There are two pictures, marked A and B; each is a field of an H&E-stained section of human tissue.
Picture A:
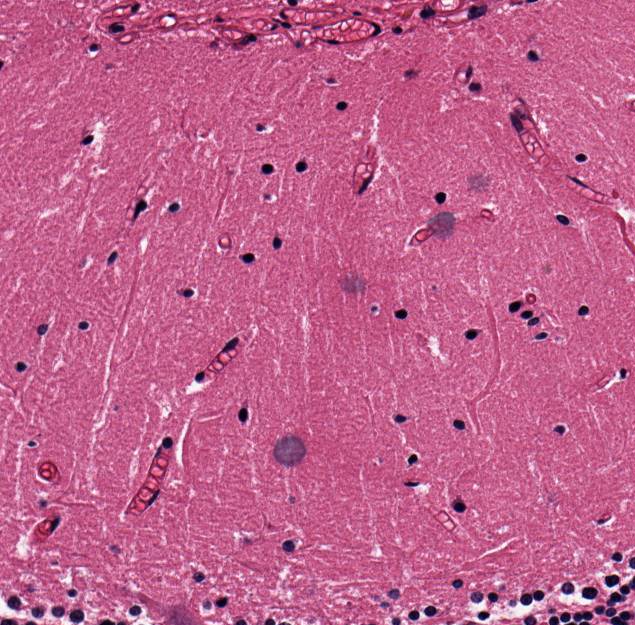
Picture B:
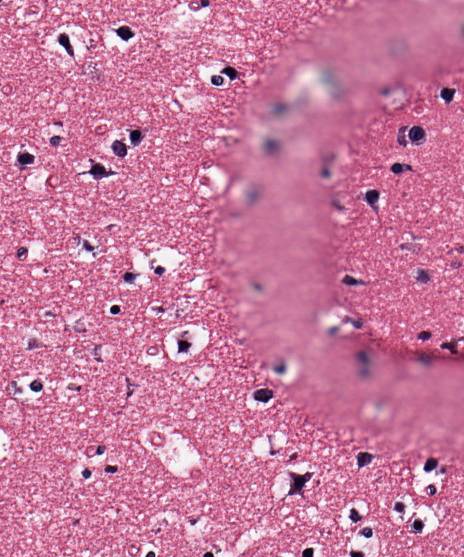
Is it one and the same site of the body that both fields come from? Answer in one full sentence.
No: picture A comes from the cerebellum, but picture B comes from the cerebral cortex.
